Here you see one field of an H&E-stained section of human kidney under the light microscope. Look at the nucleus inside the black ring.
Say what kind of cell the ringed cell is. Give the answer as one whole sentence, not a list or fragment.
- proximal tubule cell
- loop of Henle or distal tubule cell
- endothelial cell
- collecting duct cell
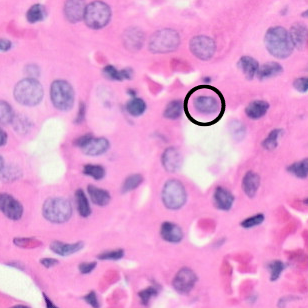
Assigned to a cell type, the ringed cell is a loop of Henle or distal tubule cell.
